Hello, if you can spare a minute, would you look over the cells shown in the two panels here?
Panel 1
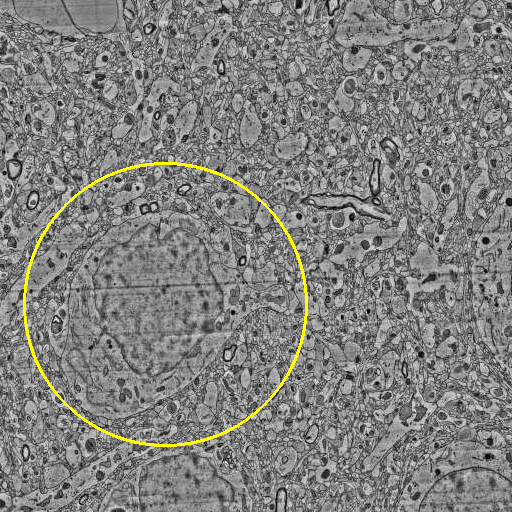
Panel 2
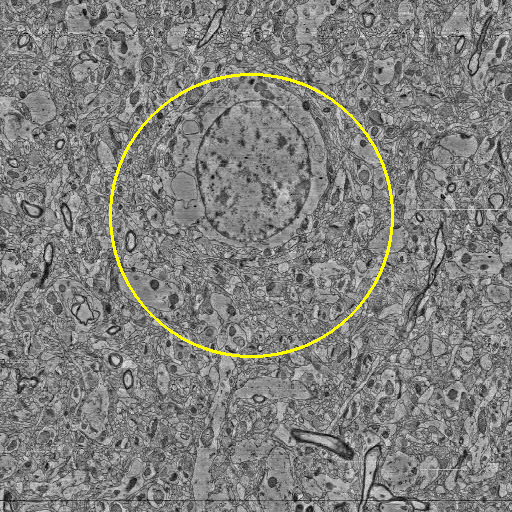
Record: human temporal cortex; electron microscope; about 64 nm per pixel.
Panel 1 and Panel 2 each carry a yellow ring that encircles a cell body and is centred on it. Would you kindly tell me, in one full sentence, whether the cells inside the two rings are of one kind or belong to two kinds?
The cells at the centres of the rings in Panel 1 and Panel 2 belong to two kinds.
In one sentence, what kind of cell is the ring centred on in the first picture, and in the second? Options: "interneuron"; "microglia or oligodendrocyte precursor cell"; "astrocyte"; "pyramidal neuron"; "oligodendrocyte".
The cell at the centre of the second ring is an astrocyte; the first ring's cell is an interneuron.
